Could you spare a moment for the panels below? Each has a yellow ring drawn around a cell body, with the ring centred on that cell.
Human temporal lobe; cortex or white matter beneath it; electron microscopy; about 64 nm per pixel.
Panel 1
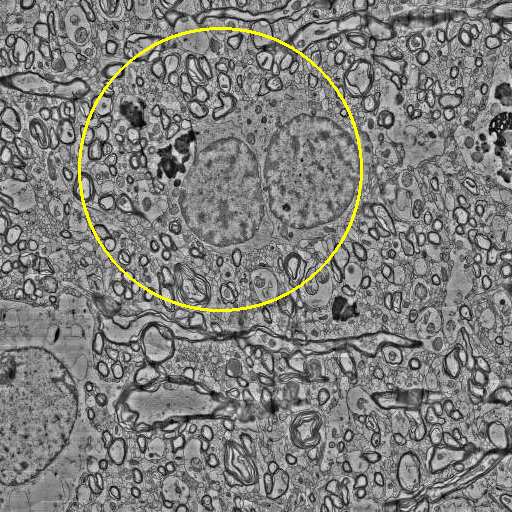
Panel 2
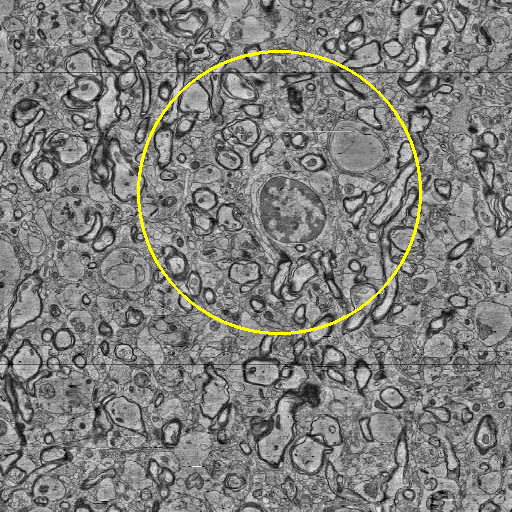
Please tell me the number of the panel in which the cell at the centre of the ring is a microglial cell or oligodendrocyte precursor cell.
2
